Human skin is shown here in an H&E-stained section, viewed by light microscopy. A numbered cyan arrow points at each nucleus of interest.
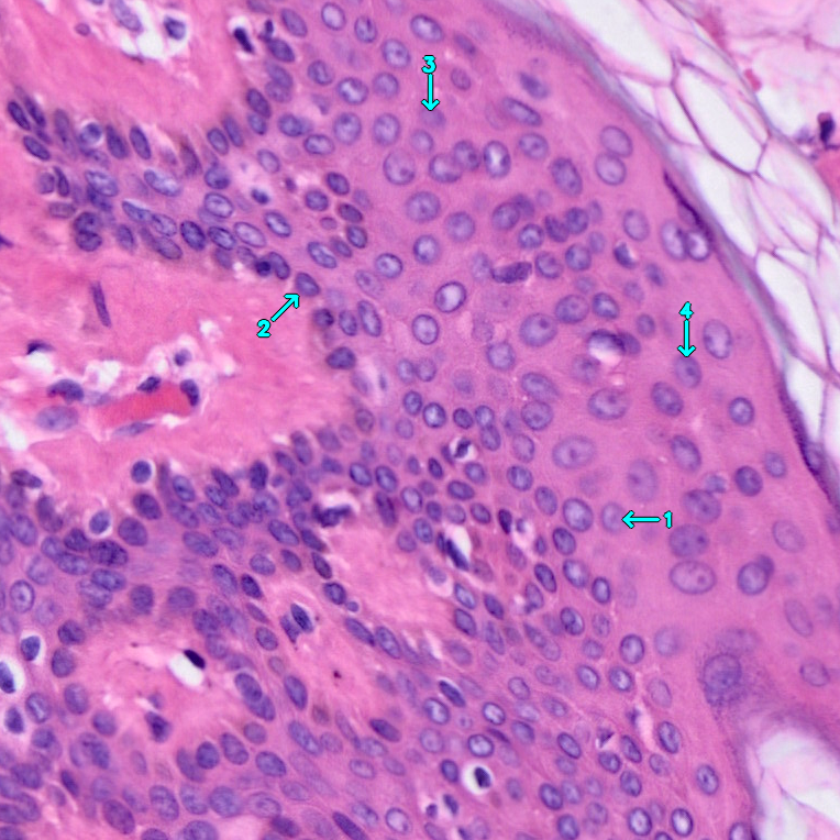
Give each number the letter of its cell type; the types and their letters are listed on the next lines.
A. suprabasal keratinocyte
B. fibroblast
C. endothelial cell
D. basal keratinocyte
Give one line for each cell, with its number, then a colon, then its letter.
1: A
2: D
3: A
4: A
